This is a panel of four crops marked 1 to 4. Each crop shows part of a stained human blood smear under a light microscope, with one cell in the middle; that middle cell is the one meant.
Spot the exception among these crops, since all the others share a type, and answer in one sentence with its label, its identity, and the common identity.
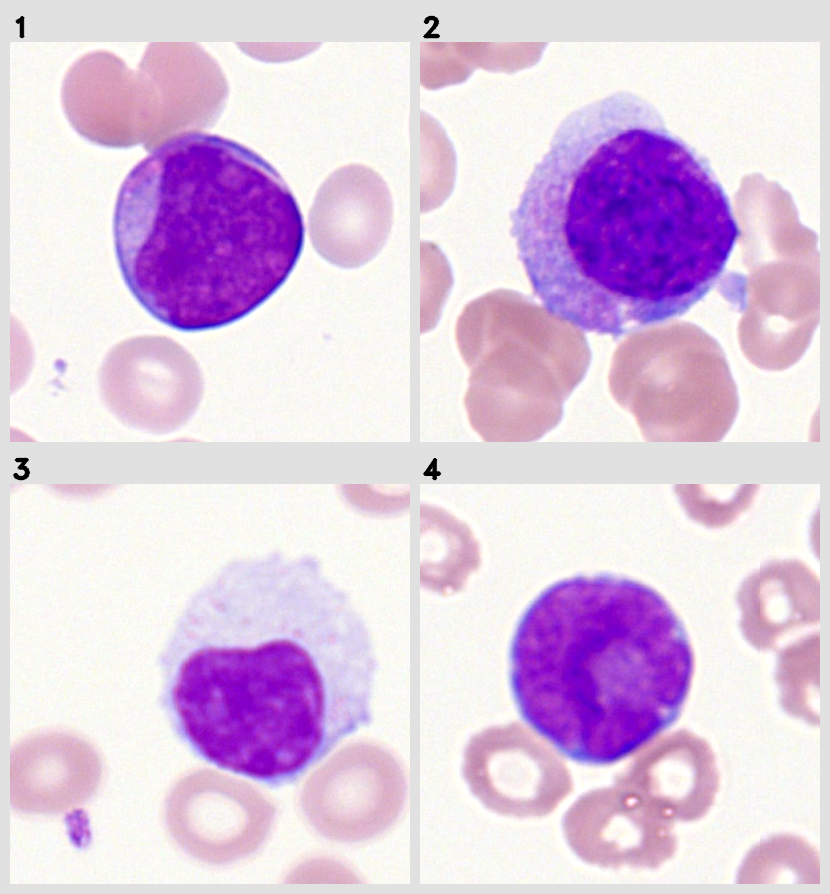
Apart from crop 3, which shows a lymphocyte, every crop shows myeloblasts.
